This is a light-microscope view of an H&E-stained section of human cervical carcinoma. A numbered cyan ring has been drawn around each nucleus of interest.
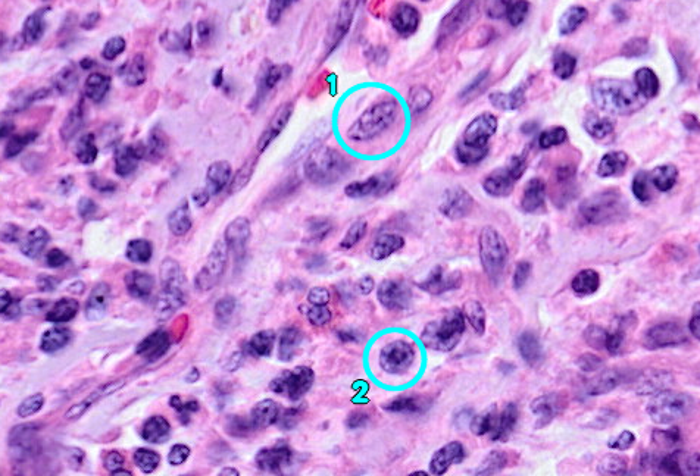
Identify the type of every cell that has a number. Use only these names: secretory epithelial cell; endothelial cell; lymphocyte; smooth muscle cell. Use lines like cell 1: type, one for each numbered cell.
cell 1: endothelial cell
cell 2: lymphocyte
